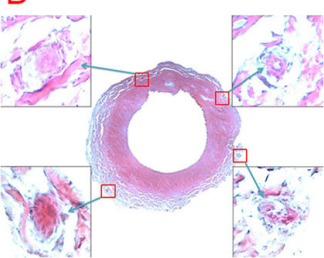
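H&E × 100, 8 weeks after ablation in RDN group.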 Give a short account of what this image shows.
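This is a cross-section of an artery with damaged nerve fibres in the tissue around it. The artery wall is a thick, continuous pink ring around an open lumen. Small bundles in the surrounding loose tissue are boxed and enlarged in the insets.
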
